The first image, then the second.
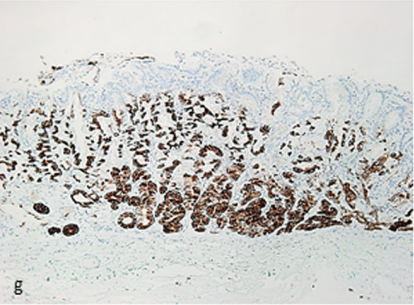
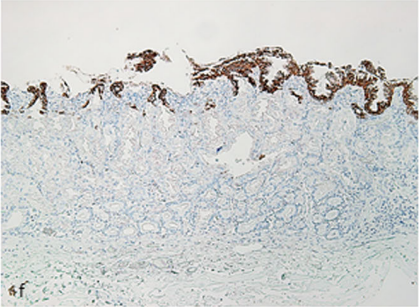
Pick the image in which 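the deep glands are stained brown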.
the first image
